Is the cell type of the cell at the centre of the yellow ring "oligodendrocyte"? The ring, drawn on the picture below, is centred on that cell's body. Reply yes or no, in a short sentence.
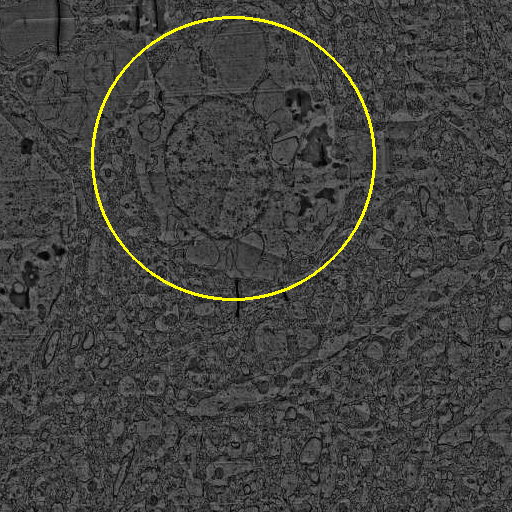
No, its cell type is another.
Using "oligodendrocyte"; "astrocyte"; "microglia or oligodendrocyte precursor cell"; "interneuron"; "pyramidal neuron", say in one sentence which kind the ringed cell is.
Sitting at the ring centre is an astrocyte.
